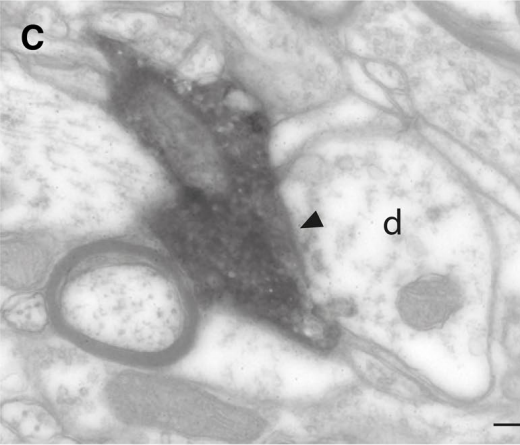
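This is an electron micrograph of neuropil in which an irregular axonal profile is darkened by a dense reaction product. At the arrowhead it contacts the shaft of a large, pale dendritic profile that contains a mitochondrion, forming a synapse directly onto the dendrite rather than onto a spine. A myelinated axon with a thick dark sheath lies next to the labeled profile.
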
